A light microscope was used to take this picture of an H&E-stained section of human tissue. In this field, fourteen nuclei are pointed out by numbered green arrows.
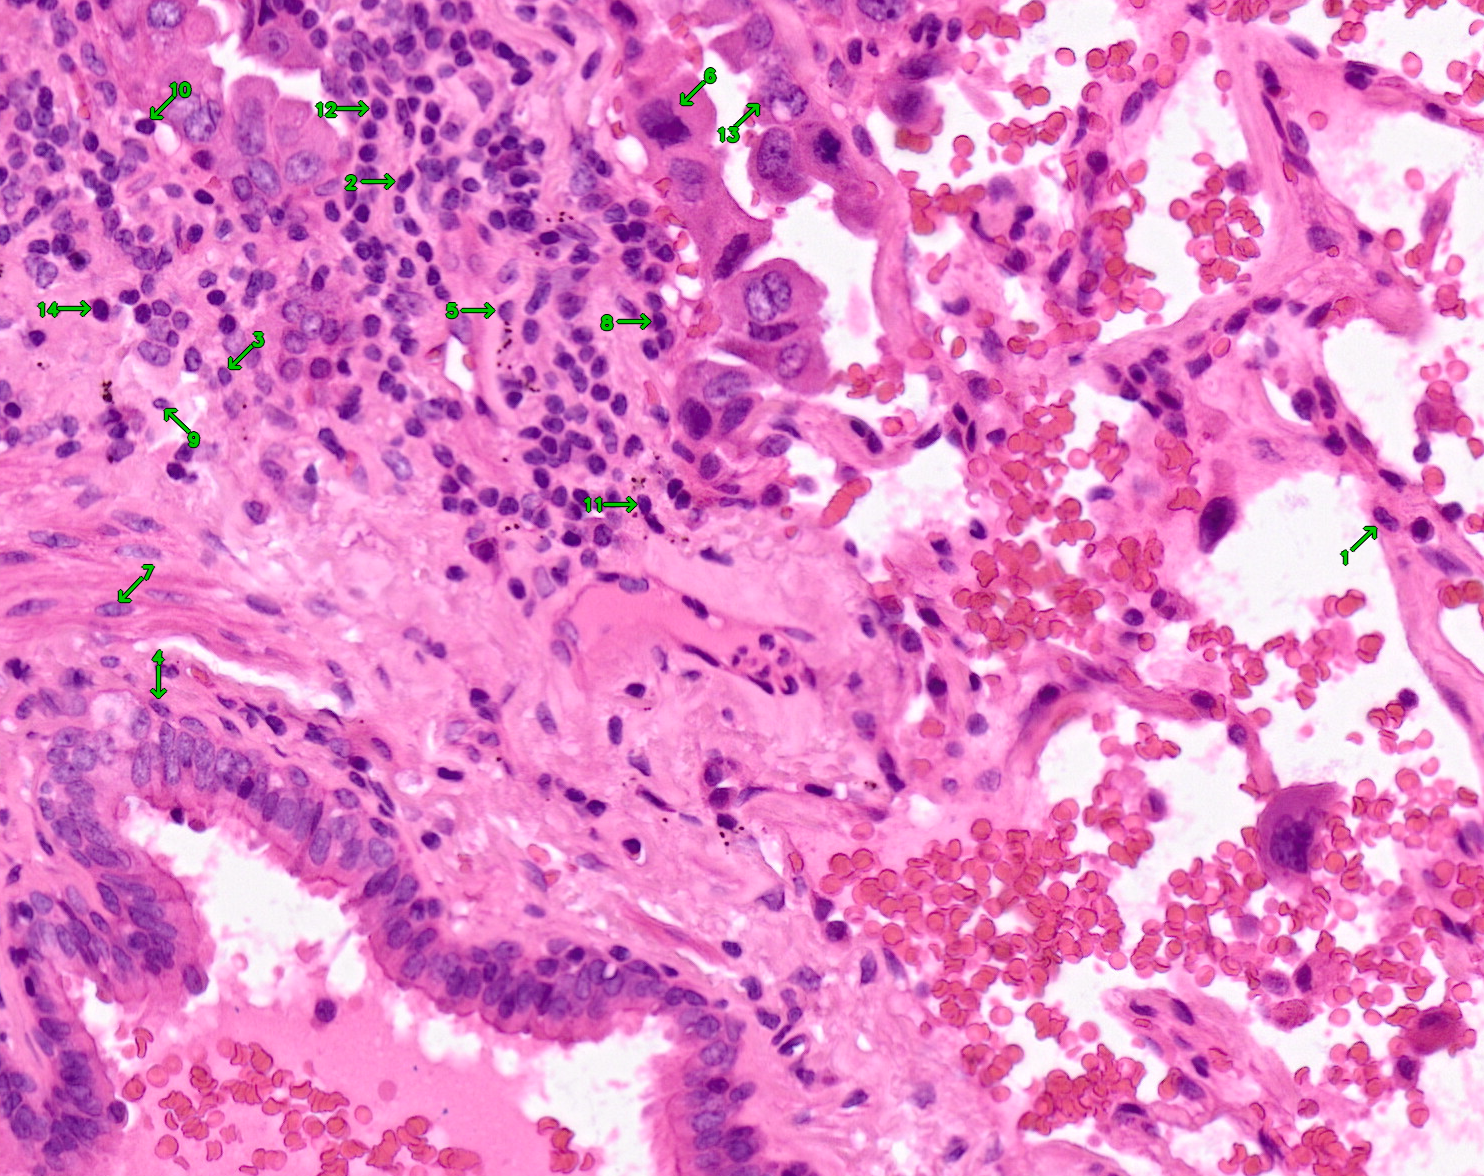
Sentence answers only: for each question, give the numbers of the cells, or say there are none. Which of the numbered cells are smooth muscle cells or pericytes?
Only at number 7 is there a smooth muscle cell or pericyte.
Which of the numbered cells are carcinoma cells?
Cells 6 and 13 in the section are typed as carcinoma cells.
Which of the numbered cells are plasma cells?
Cell 14 represents a plasma cell, and no other numbered cell does.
